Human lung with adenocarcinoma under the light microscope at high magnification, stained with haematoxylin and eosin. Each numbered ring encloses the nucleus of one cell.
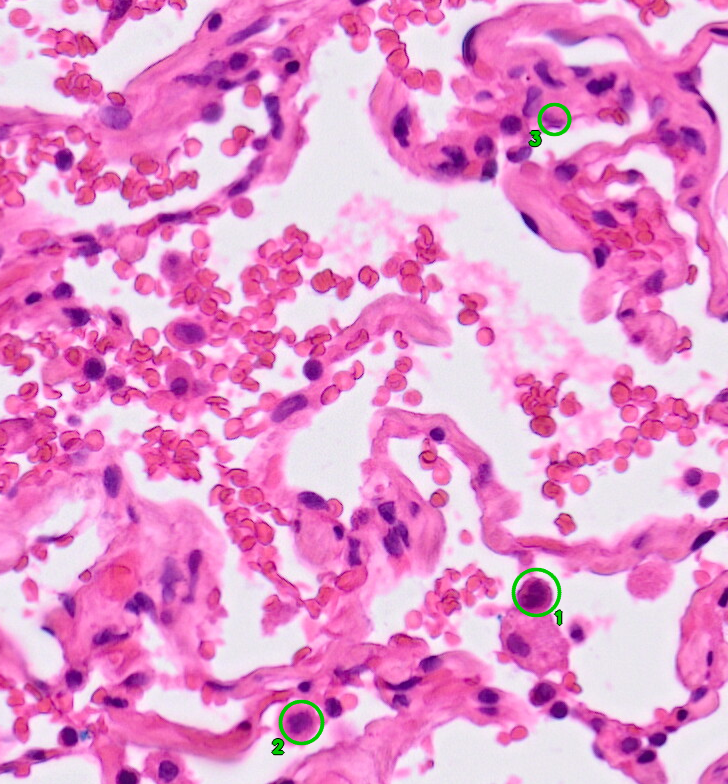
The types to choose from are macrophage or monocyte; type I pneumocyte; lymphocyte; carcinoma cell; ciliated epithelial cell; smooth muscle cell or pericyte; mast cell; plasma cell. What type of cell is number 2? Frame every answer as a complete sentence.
In this section, the cell tagged 2 is a macrophage or monocyte.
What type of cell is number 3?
The cell with the number 3 is a type I pneumocyte.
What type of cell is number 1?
Cell number 1 in this section is a macrophage or monocyte.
